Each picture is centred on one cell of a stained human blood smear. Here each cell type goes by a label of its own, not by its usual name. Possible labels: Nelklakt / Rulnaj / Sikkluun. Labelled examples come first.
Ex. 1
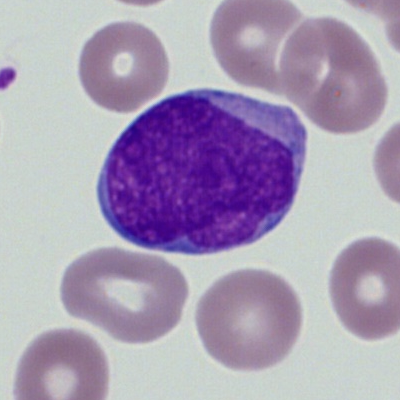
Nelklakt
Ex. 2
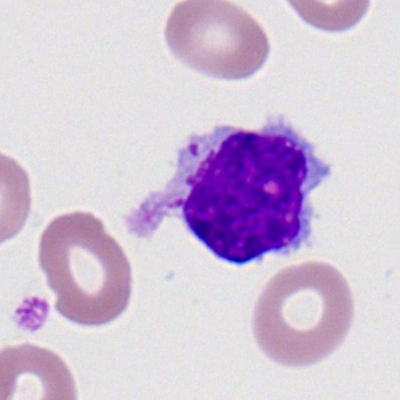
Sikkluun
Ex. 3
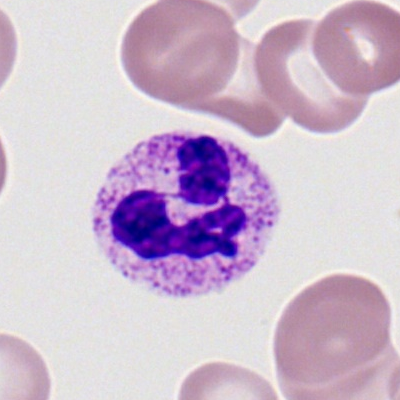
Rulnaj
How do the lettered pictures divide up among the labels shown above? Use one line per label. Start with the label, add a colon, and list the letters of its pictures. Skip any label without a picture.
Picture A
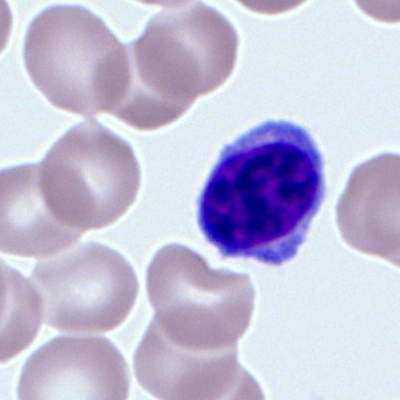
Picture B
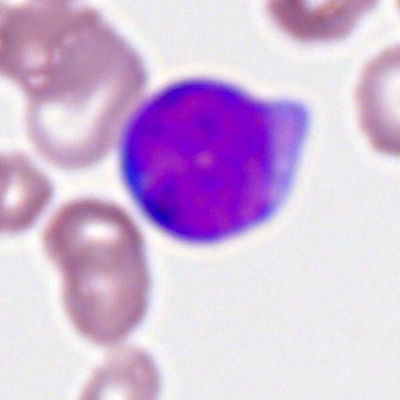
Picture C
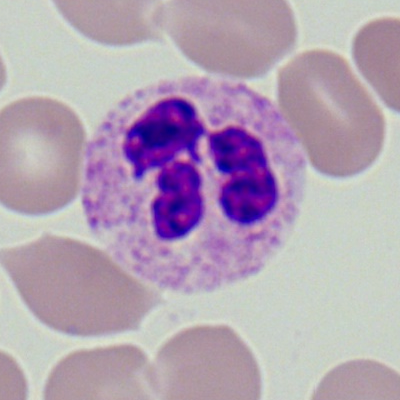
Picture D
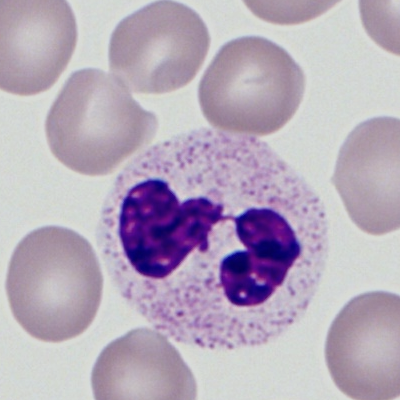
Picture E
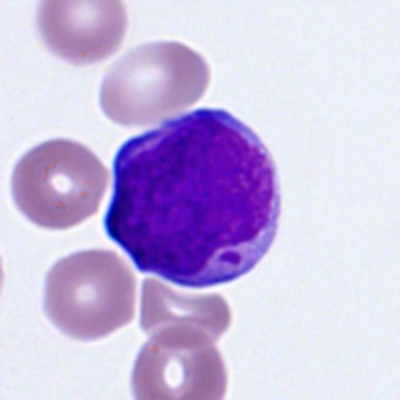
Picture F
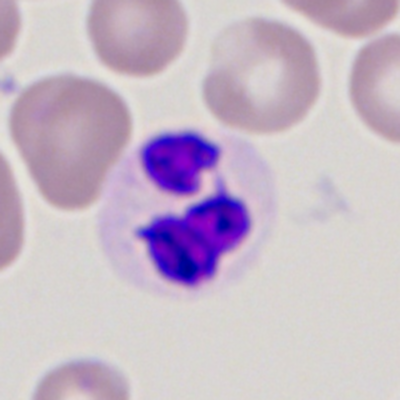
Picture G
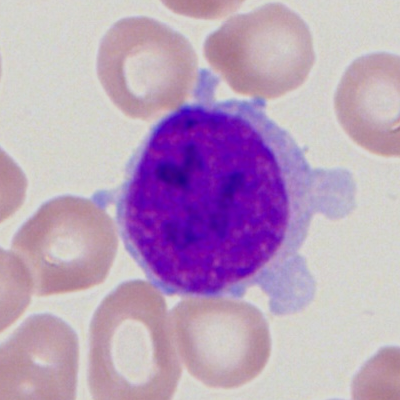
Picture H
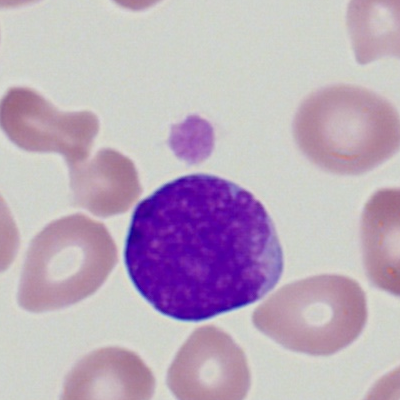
Nelklakt: B, E, H
Rulnaj: C, D, F
Sikkluun: A, G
